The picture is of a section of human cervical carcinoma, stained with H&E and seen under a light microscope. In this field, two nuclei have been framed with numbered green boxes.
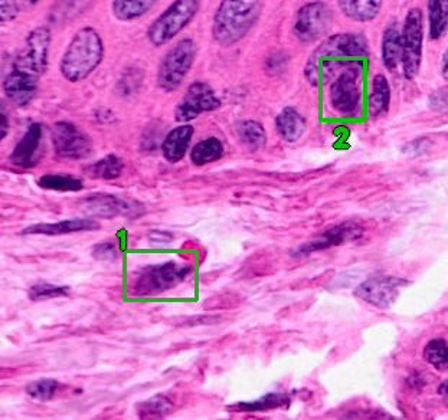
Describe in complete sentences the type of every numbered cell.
Cell 1 is an endothelial cell and cell 2 is a squamous carcinoma cell.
